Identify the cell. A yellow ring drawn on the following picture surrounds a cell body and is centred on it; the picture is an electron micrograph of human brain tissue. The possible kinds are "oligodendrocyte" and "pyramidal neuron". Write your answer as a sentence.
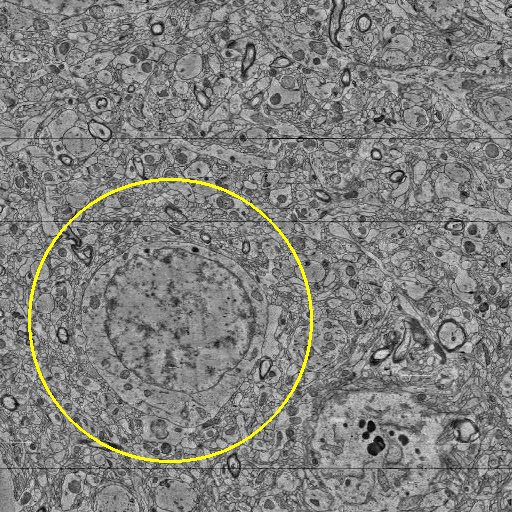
The cell identified by the ring is a pyramidal neuron.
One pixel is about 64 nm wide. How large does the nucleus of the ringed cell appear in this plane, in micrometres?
The nucleus appears about 10 micrometres across in this plane.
